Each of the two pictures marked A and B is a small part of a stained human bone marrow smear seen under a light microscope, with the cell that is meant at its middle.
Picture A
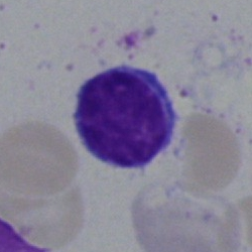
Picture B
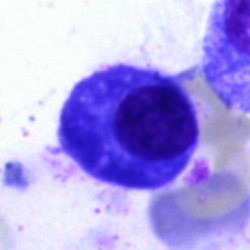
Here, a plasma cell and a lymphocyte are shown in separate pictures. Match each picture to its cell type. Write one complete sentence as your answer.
Picture A shows a lymphocyte and picture B shows a plasma cell.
